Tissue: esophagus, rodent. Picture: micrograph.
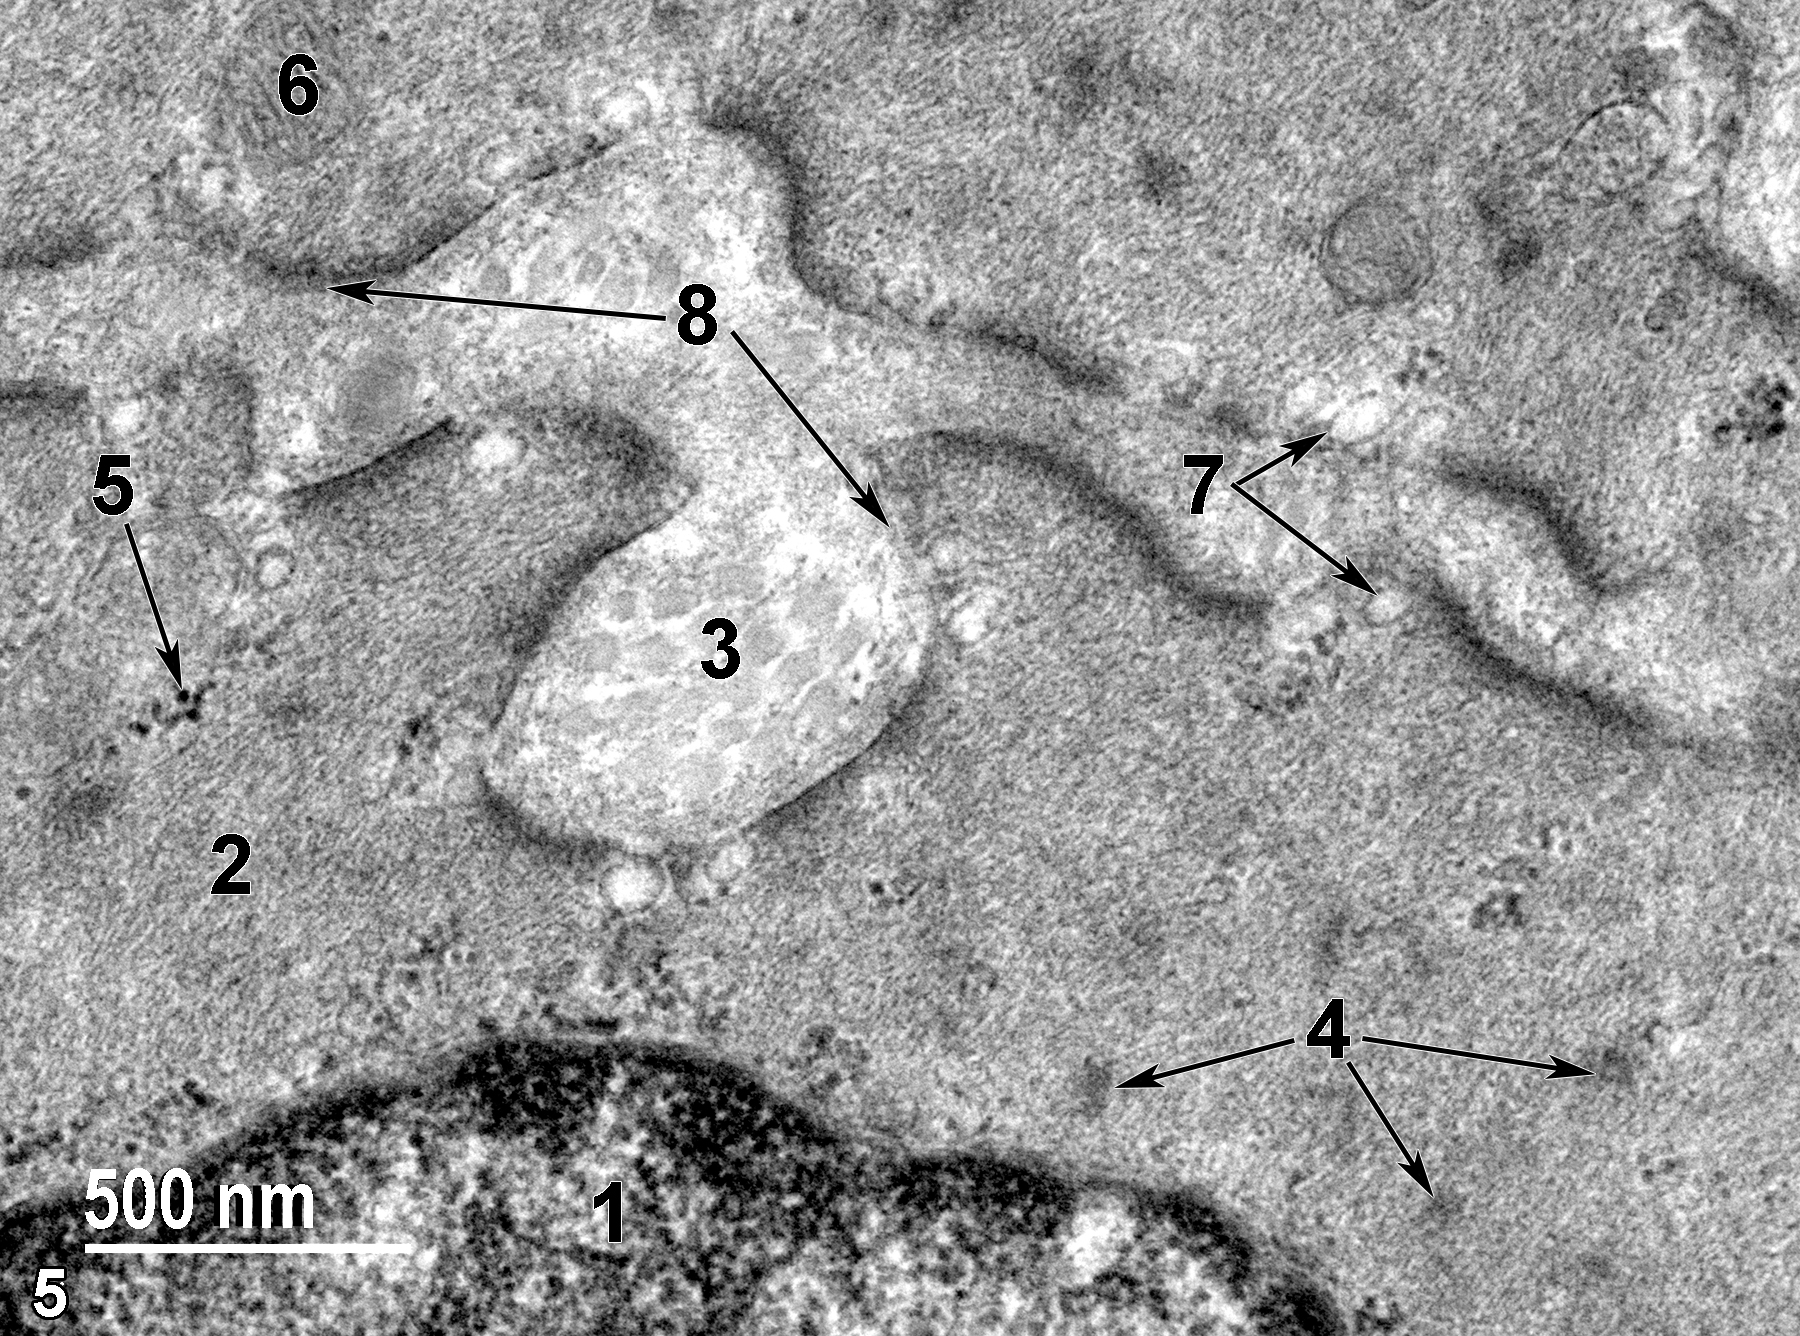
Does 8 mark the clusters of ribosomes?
No, 8 marks the basal lamina.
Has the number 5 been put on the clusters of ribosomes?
Yes, 5 marks the clusters of ribosomes.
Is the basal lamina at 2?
No. The actin and myosin microfilaments.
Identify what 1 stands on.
The number 1 marks the nucleus.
